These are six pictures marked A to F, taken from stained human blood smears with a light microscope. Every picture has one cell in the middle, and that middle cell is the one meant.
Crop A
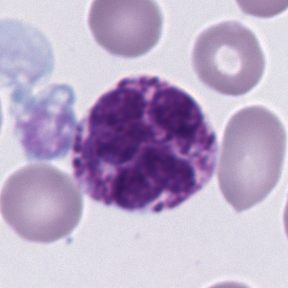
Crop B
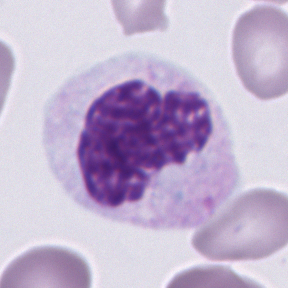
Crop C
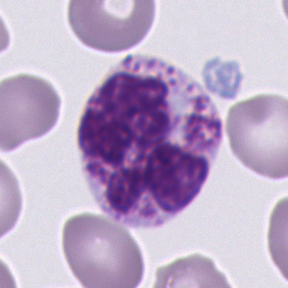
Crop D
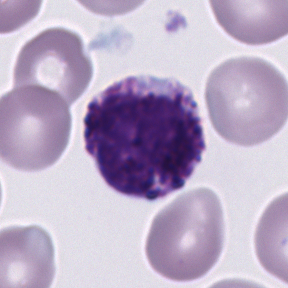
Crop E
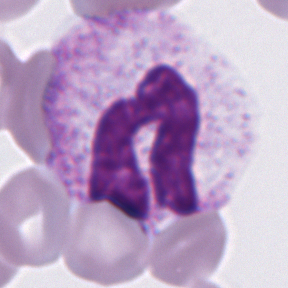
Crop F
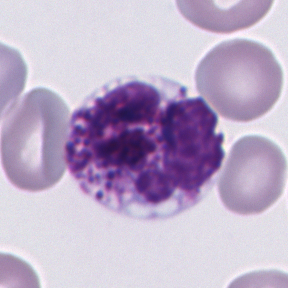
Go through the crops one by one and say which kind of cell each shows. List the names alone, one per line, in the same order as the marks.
basophil
segmented neutrophil
basophil
basophil
segmented neutrophil
basophil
